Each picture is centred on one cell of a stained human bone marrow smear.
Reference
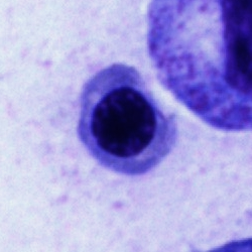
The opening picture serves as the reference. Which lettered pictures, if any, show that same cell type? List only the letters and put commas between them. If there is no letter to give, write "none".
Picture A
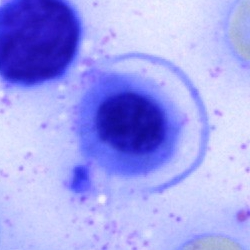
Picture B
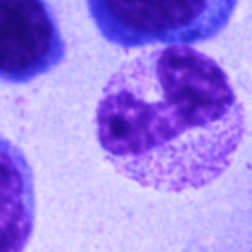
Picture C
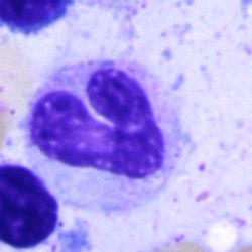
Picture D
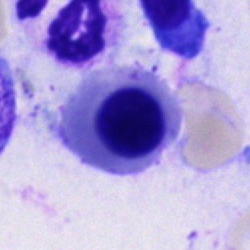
A, D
